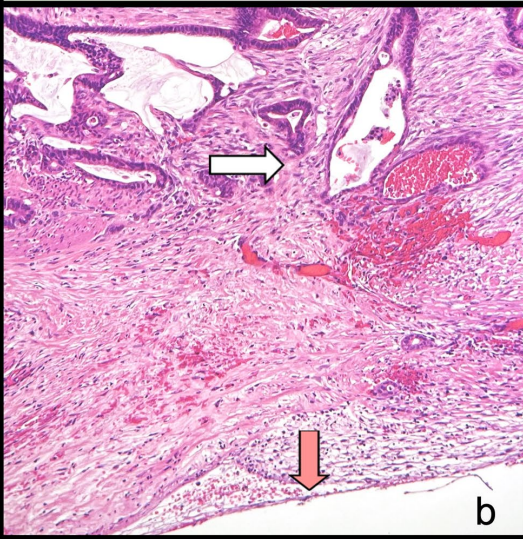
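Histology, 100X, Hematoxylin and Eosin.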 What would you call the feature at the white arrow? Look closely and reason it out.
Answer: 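Irregular, angulated gland lumina lined by crowded columnar epithelium. Epithelial nuclei are dark, elongated and stratified. The glands lie in a cellular spindle-cell stroma.
Adenocarcinoma glands.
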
